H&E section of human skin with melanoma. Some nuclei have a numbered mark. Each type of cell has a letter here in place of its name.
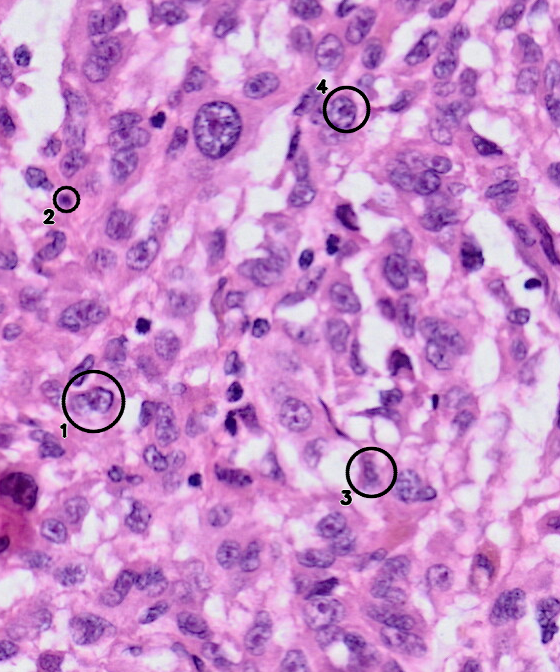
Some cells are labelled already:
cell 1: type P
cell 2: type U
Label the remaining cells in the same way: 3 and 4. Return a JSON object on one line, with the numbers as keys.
{"3": "type P", "4": "type P"}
